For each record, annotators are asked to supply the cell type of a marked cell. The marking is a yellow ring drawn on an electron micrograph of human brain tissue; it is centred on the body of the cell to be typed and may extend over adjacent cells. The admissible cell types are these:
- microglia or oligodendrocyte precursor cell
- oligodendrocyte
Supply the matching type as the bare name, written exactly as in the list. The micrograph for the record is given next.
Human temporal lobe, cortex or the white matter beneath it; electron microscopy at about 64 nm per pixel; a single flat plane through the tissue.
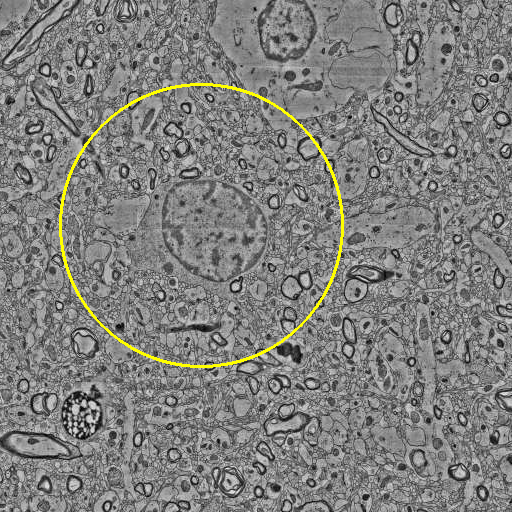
oligodendrocyte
